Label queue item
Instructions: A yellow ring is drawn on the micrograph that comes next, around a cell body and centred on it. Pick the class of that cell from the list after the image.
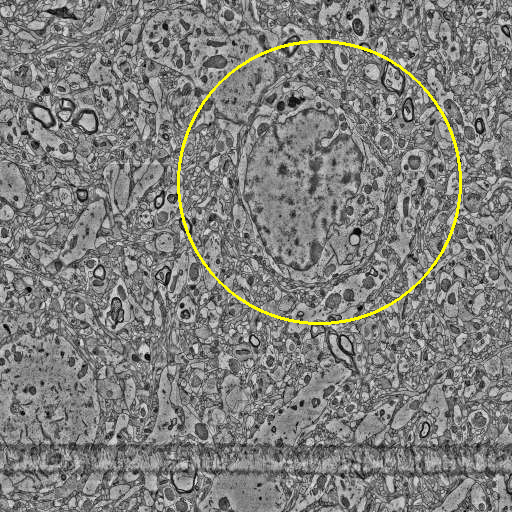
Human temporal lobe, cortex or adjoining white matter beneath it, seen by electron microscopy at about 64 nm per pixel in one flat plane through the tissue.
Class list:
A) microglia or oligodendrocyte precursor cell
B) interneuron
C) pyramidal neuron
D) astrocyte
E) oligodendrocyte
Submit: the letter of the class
B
